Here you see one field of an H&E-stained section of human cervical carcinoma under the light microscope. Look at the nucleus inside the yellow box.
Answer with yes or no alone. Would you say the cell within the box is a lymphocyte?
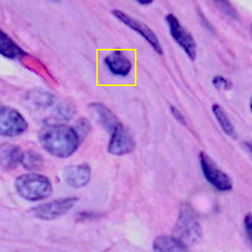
no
